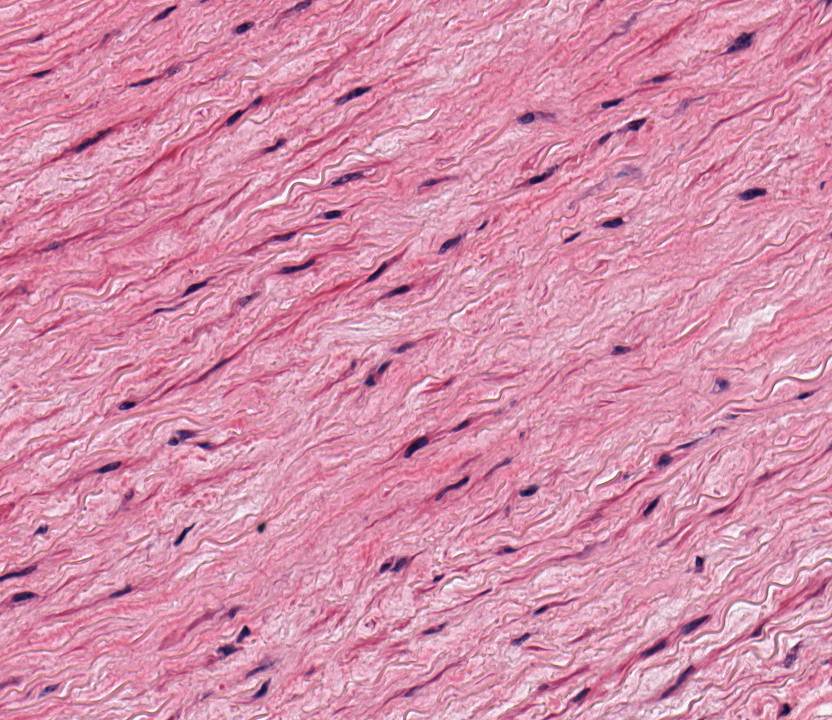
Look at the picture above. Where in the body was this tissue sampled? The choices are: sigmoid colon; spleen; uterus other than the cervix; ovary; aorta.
aorta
